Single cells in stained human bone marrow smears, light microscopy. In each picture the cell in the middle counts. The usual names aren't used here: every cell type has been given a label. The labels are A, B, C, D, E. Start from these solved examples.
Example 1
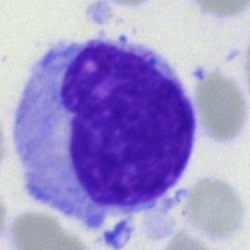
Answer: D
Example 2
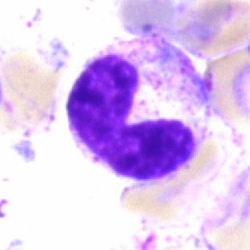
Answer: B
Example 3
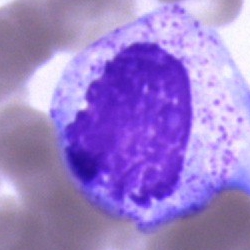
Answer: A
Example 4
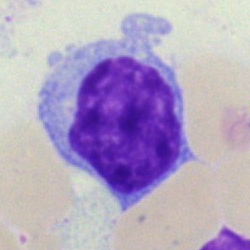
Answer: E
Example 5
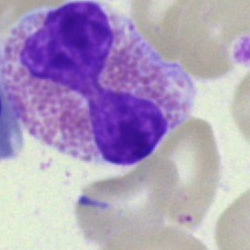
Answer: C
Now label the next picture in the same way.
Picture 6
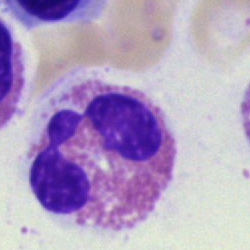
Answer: C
